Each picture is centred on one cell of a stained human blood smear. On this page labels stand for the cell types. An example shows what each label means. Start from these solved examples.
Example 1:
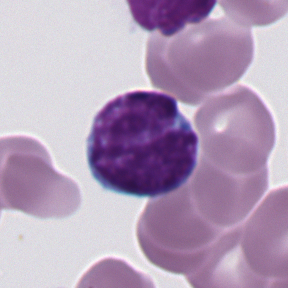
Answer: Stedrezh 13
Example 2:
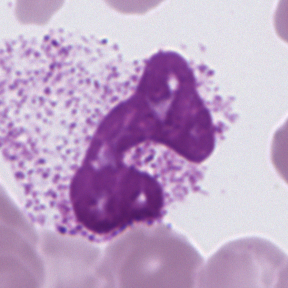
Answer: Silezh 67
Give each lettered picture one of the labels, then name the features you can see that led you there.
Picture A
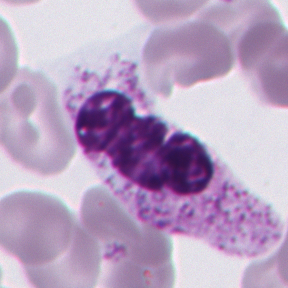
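Answer: Silezh 67. The cytoplasm is pale pink.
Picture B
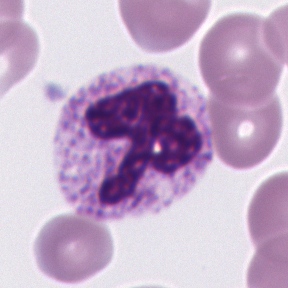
Answer: Silezh 67. The cytoplasm is plentiful and pale pink.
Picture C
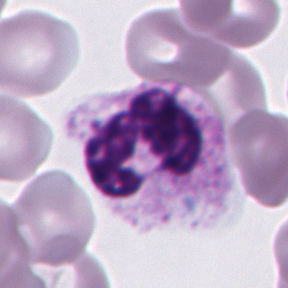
Answer: Silezh 67. The cytoplasm is plentiful and pale pinkish-lilac.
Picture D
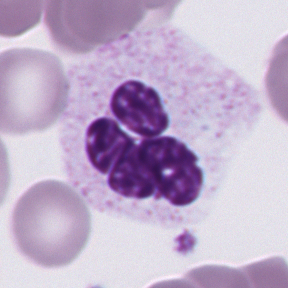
Answer: Silezh 67. Abundant pale pinkish cytoplasm surrounds the nucleus on all sides.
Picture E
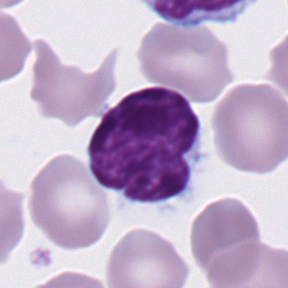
Answer: Stedrezh 13. The cytoplasm is only a thin pale rim, best seen on the right side.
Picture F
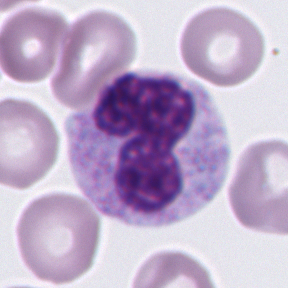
Answer: Silezh 67. The cytoplasm is abundant and pale lilac.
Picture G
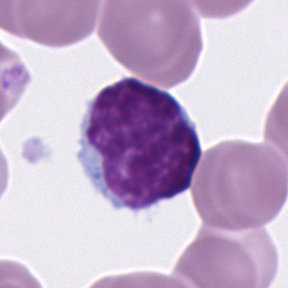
Answer: Stedrezh 13. A narrow rim of cytoplasm shows mainly on the left side of the cell.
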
